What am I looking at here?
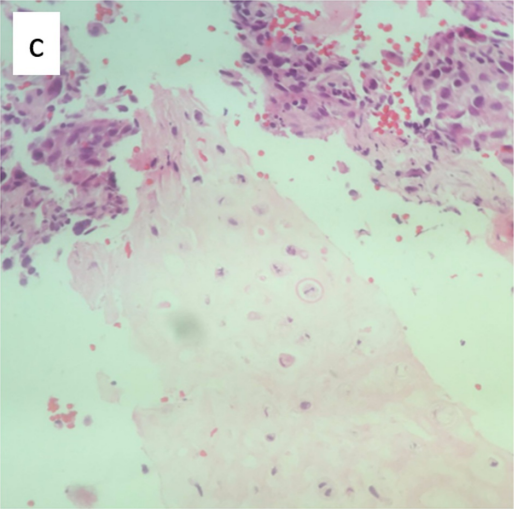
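This is a tumor with a chondroblastic component, seen at high power. In the lower half a pale, glassy pink matrix holds scattered cells, each lying in a rounded clear space. In the upper part lie clusters of crowded tumor cells with large, dark purple, irregular nuclei and pink cytoplasm, with red blood cells between them. The clustered cells vary markedly in nuclear size and shape.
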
